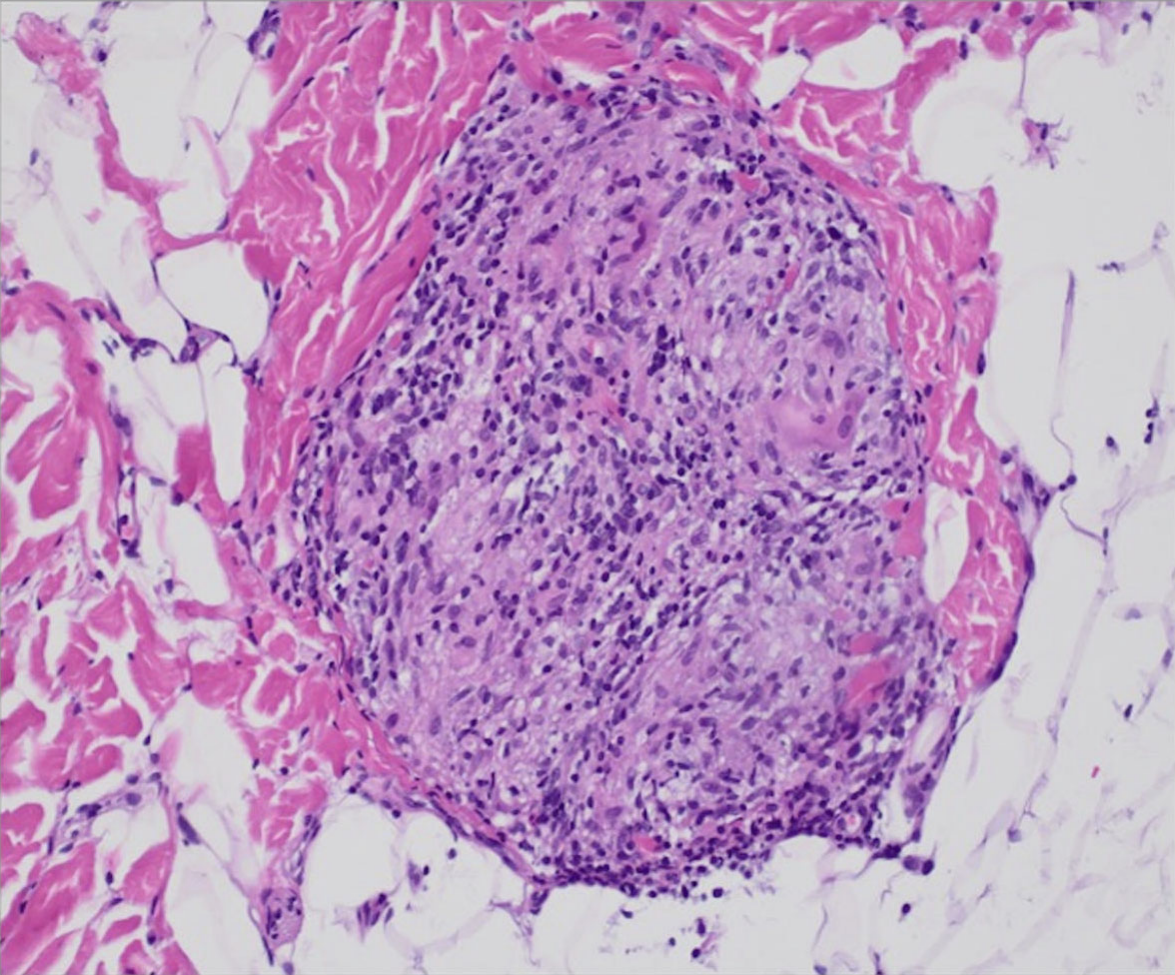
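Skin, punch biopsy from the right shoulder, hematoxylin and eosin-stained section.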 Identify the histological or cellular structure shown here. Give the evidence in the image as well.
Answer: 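A well-circumscribed, rounded nodule of densely packed cells sits in the centre of the field. The nodule is surrounded by pink collagen bundles and clear fat cells.
Granulomas.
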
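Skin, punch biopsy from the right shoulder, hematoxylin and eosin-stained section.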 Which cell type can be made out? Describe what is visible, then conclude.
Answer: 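Epithelioid histiocytes. Within the nodule are pale cells with abundant pale pink to lilac cytoplasm. These cells have oval to elongated, pale nuclei and form loose clusters.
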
